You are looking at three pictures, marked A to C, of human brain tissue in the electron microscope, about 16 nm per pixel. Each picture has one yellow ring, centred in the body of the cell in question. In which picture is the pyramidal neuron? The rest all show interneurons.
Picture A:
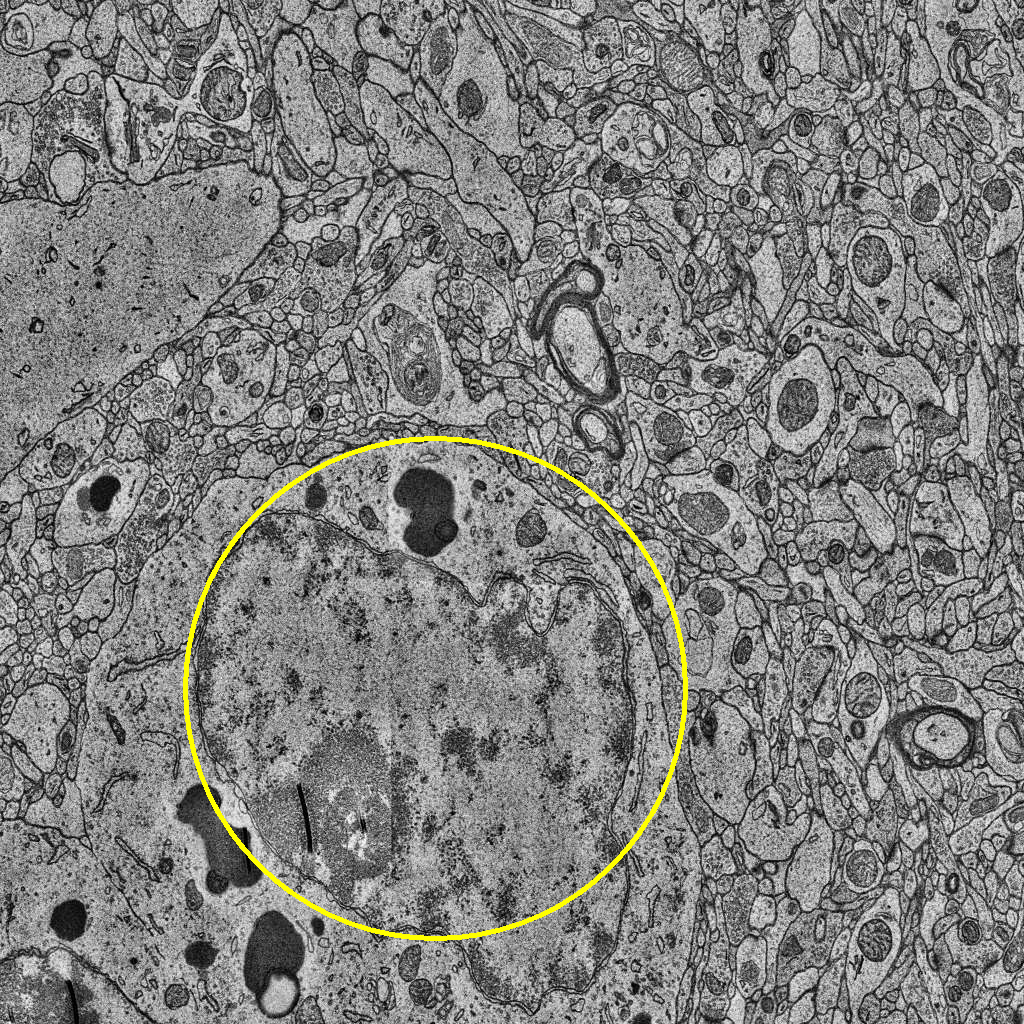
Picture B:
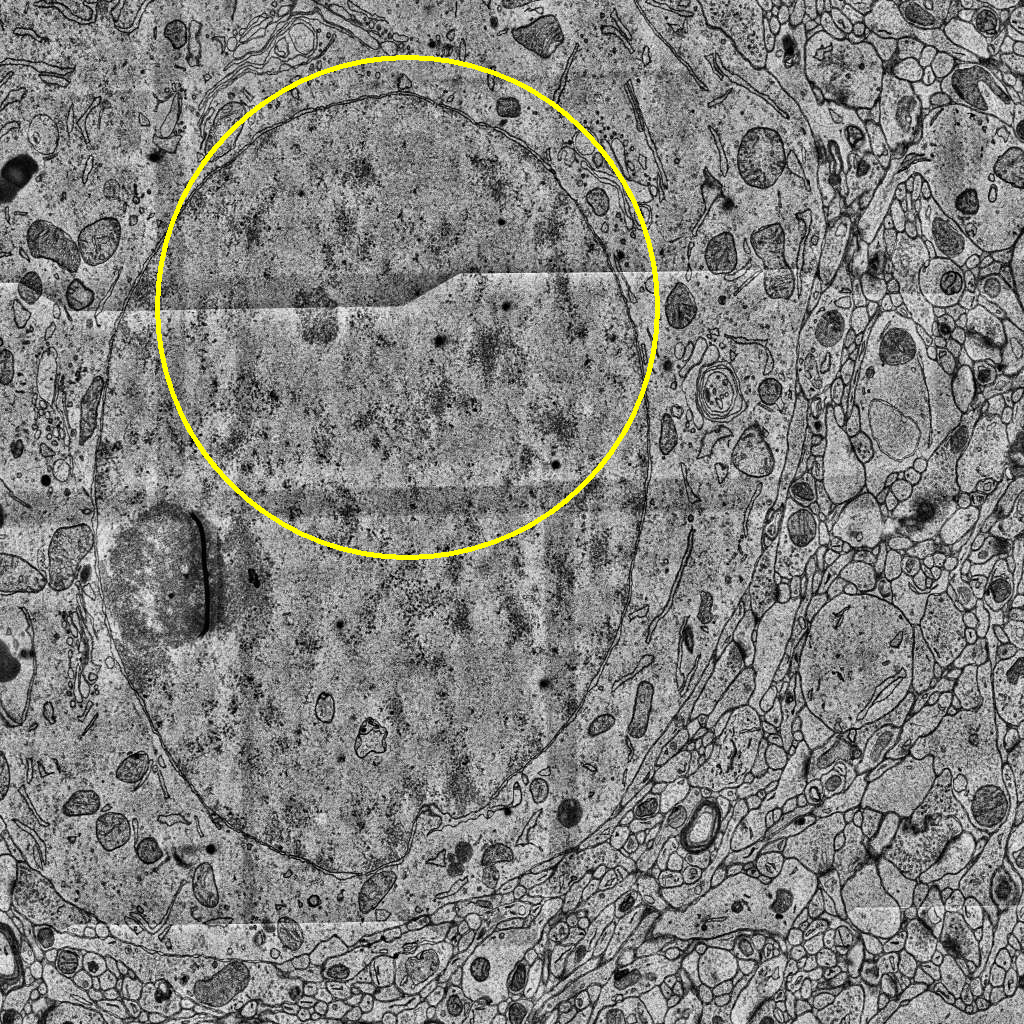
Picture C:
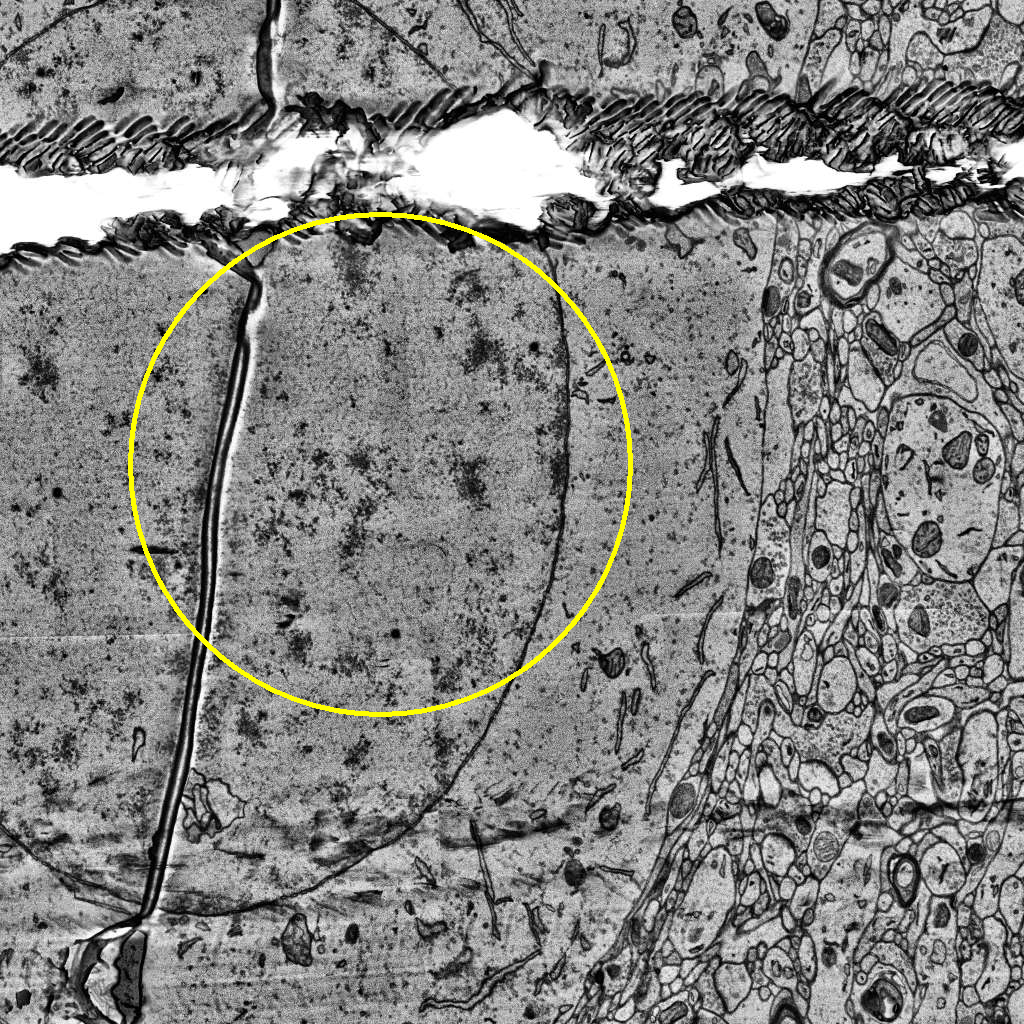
The picture with the pyramidal neuron is C.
